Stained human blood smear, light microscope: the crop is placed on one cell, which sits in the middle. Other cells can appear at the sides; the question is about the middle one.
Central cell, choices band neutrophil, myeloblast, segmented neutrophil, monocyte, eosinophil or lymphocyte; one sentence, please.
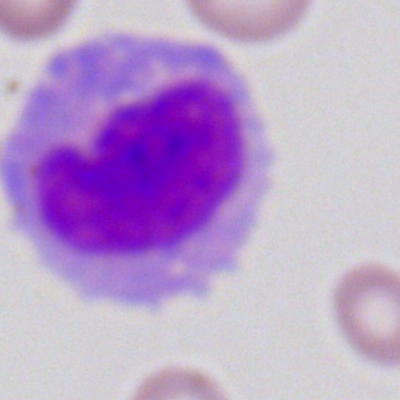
The middle position in this crop is taken by a monocyte.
